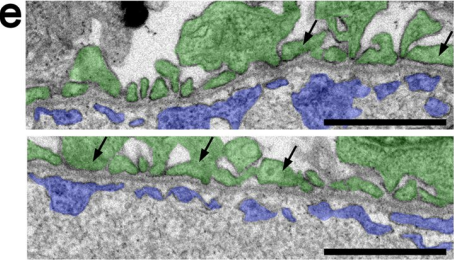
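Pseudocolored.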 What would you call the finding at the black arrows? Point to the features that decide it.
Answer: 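Irregular-shaped foot processes. The arrows point to broad, flattened green processes. These processes lack the small regular shape of their neighbours.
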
